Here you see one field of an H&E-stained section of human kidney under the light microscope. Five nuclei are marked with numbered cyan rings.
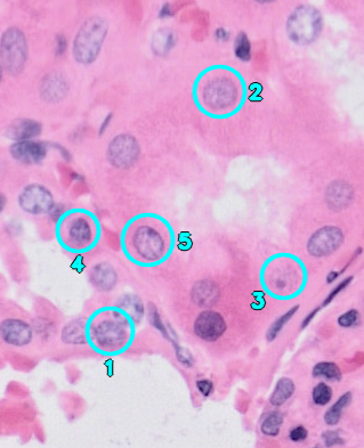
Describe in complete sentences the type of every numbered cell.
Cells 1 and 4 are collecting duct cells. Cells 2, 3 and 5 are proximal tubule cells.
